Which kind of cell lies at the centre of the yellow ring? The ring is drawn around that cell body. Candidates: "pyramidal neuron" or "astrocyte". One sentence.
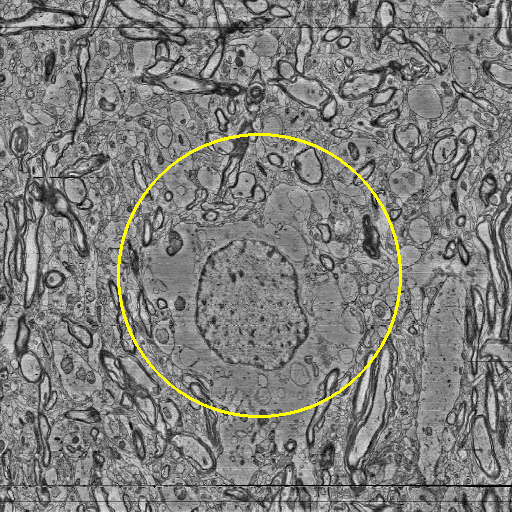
Lying at the centre of the ring is an astrocyte.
